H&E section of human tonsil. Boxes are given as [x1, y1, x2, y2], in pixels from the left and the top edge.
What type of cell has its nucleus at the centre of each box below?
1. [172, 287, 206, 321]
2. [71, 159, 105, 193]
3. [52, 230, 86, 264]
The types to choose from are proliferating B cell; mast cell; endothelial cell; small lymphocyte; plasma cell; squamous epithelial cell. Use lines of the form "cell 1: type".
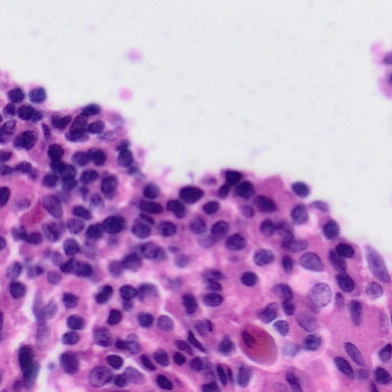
cell 1: plasma cell
cell 2: small lymphocyte
cell 3: small lymphocyte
